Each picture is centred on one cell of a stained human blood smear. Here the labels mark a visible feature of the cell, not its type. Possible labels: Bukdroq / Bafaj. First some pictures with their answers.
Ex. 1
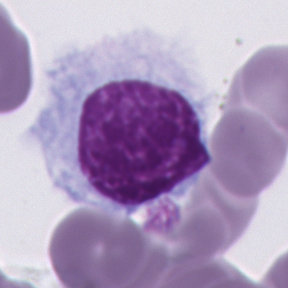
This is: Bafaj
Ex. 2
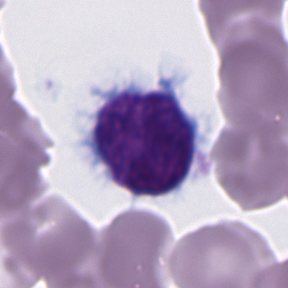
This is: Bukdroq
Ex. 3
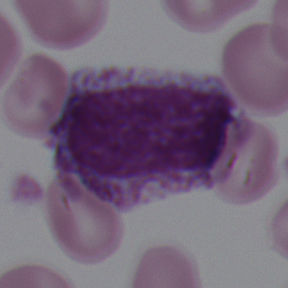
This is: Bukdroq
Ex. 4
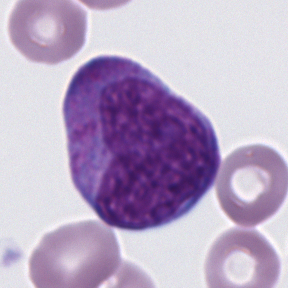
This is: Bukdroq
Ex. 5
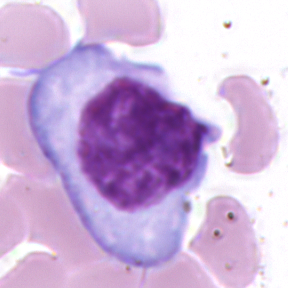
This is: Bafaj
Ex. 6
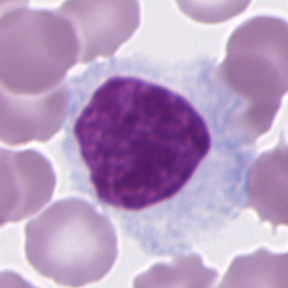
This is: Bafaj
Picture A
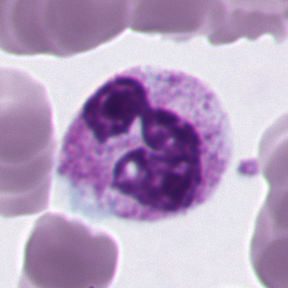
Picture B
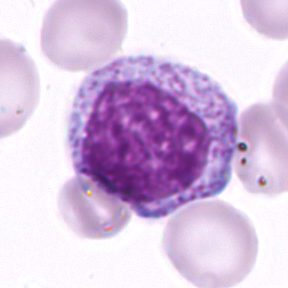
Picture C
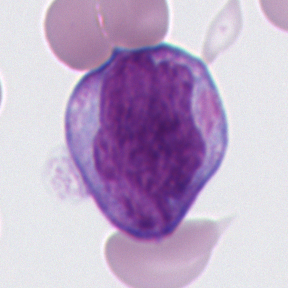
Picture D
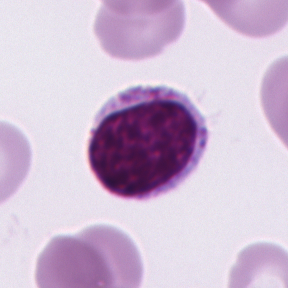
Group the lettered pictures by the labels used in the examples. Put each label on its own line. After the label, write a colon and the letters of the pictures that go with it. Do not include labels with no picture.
Bukdroq: B, C, D
Bafaj: A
